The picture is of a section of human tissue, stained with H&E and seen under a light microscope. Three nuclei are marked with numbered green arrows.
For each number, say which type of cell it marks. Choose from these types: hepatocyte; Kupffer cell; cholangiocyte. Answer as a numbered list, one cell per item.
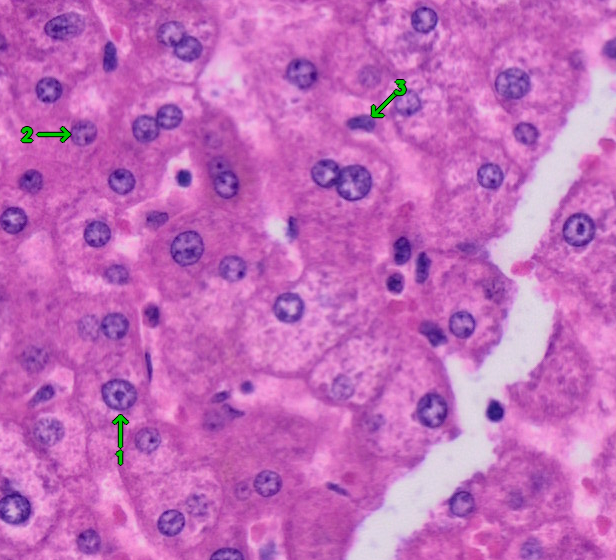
1. hepatocyte
2. hepatocyte
3. Kupffer cell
